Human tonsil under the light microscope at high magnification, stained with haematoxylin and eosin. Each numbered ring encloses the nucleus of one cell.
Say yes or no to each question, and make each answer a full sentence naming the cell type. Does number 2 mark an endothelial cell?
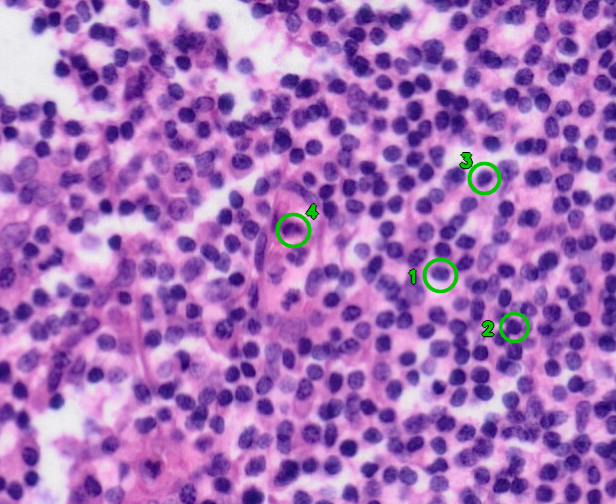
No, cell 2 is to be read as a small lymphocyte, not an endothelial cell.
